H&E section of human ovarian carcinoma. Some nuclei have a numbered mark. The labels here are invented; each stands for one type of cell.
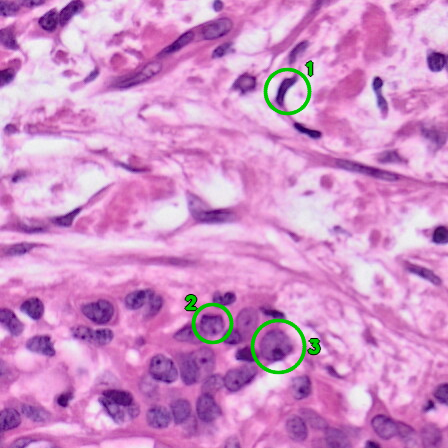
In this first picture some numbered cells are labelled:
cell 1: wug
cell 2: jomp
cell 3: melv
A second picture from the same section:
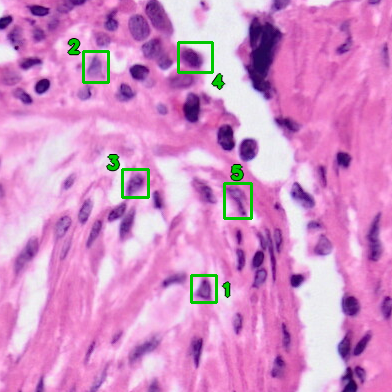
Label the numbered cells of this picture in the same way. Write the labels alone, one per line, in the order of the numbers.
wug
jomp
wug
melv
wug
